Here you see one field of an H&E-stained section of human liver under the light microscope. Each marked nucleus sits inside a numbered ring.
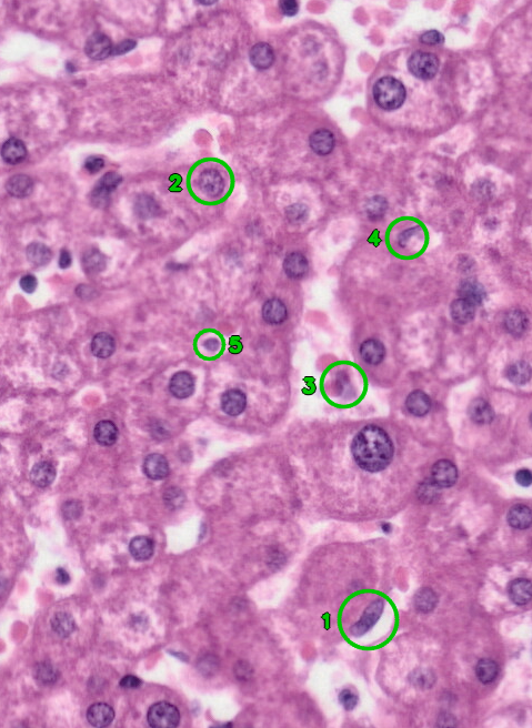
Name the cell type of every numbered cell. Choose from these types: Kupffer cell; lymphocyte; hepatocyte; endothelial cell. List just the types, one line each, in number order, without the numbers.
Kupffer cell
hepatocyte
Kupffer cell
endothelial cell
lymphocyte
